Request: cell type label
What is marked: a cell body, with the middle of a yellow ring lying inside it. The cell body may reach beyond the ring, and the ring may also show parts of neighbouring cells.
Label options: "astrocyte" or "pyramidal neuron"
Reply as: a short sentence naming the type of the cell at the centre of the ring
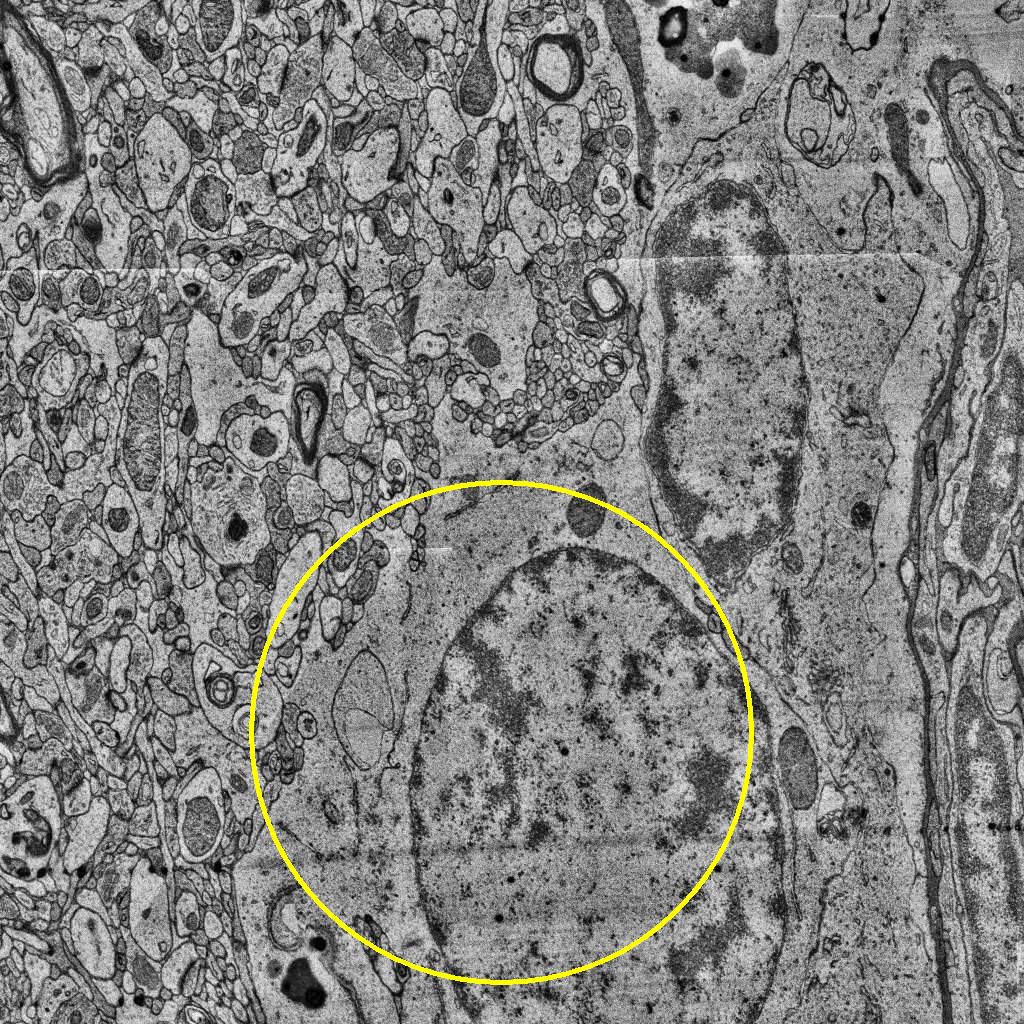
The marked cell body is that of an astrocyte.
